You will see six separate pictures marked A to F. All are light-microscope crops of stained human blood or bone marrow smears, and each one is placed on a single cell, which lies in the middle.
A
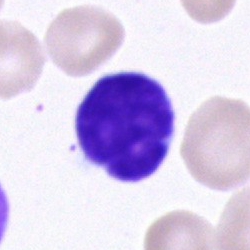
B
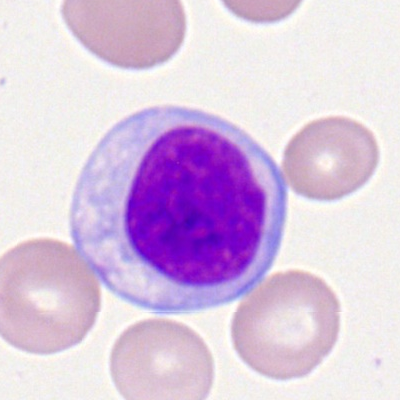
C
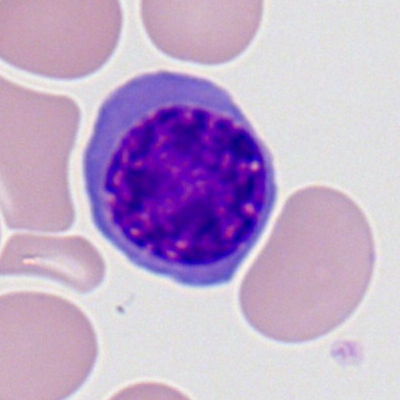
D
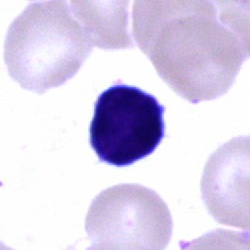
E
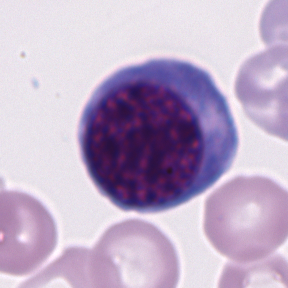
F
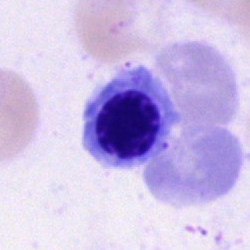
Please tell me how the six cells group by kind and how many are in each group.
lymphocyte: 3
normoblast: 3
